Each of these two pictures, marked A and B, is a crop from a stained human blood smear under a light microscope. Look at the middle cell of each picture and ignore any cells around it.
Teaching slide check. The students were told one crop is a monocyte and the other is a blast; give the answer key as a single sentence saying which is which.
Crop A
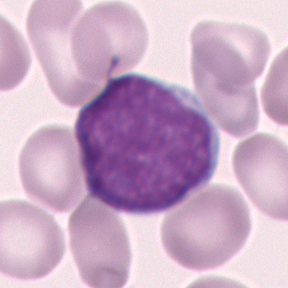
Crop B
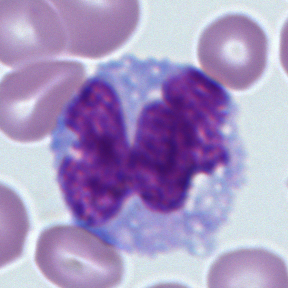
It is a blast that crop A shows, and a monocyte that crop B shows.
